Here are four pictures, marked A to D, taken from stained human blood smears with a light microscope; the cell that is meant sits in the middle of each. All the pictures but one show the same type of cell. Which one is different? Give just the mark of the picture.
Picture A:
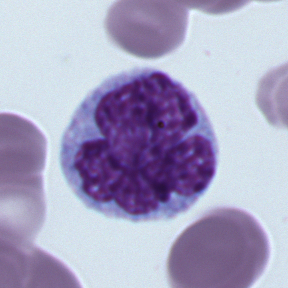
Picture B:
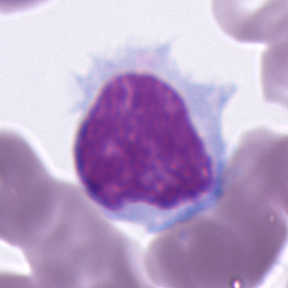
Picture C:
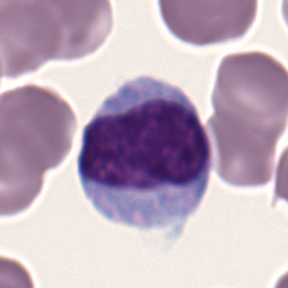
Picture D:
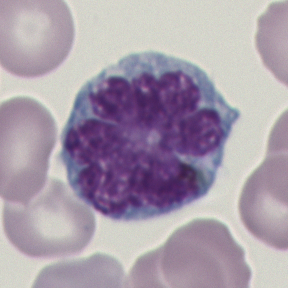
B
